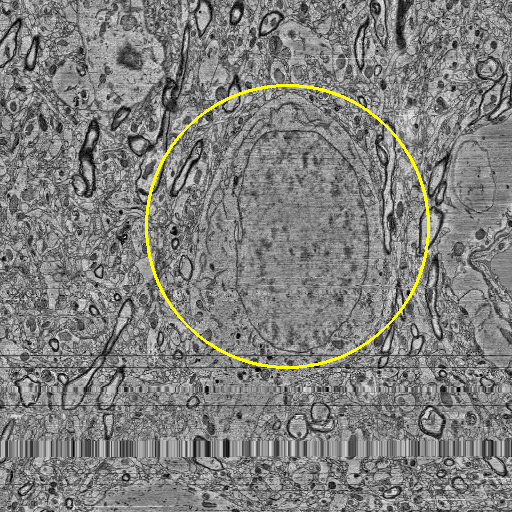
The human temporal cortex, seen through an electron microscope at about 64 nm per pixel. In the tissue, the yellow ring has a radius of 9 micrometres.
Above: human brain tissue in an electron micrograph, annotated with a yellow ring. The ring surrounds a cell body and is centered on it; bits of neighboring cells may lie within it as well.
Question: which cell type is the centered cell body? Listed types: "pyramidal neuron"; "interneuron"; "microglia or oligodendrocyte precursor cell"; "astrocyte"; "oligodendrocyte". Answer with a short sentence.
The centered cell body is a pyramidal neuron.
